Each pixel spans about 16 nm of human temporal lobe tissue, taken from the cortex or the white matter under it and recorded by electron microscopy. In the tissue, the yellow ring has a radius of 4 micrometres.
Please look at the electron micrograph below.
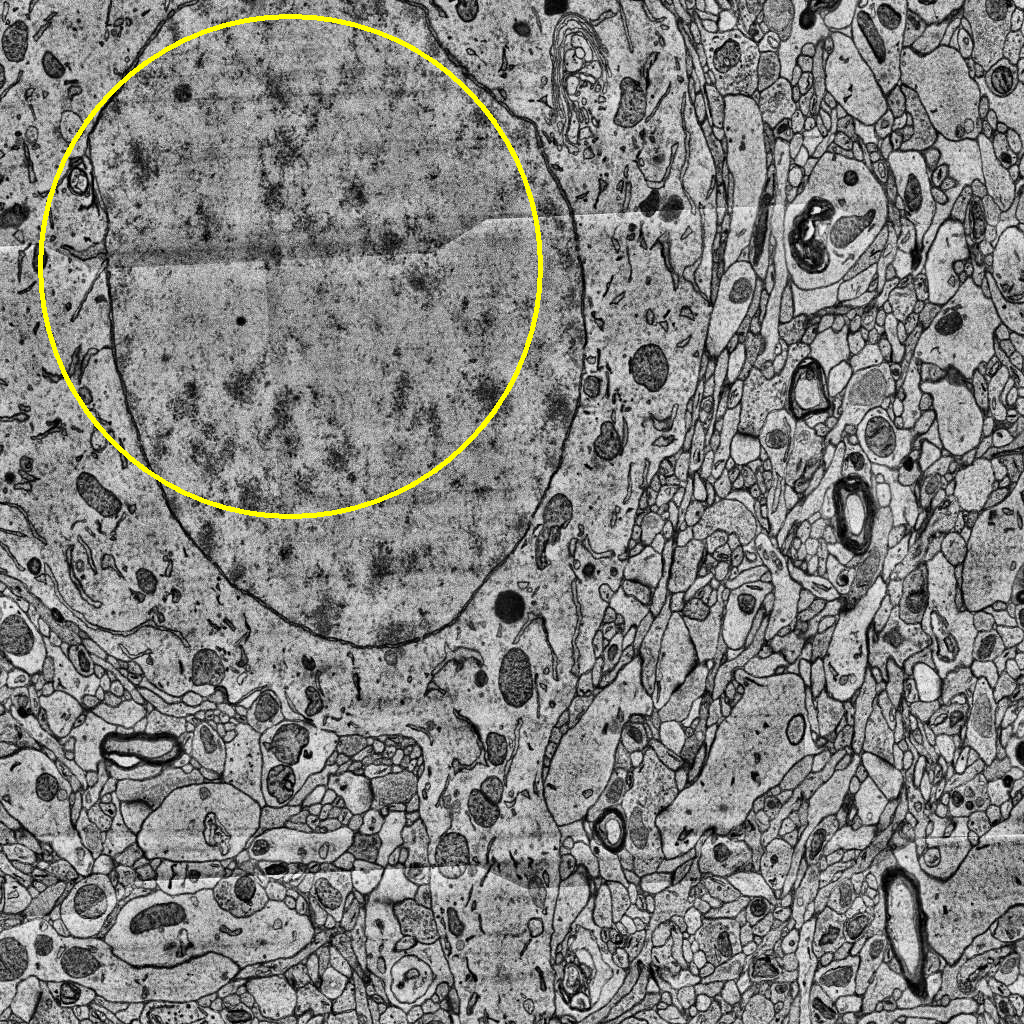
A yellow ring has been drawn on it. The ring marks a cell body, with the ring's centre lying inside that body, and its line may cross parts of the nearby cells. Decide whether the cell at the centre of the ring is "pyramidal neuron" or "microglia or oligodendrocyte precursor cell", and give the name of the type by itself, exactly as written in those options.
pyramidal neuron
